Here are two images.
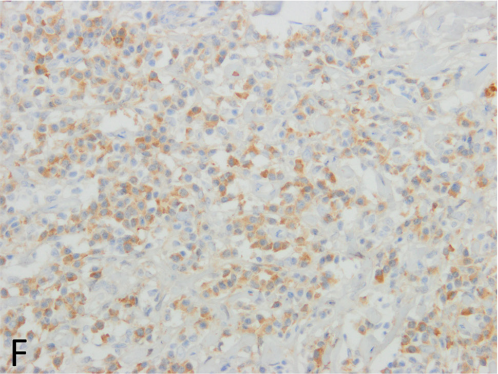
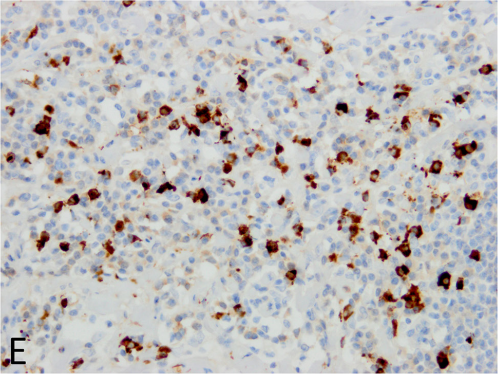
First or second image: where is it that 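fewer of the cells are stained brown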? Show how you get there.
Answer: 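The second image. First image: most cells in the field show pale brown cytoplasm. Second image: only scattered cells are brown, many others are unstained blue.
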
